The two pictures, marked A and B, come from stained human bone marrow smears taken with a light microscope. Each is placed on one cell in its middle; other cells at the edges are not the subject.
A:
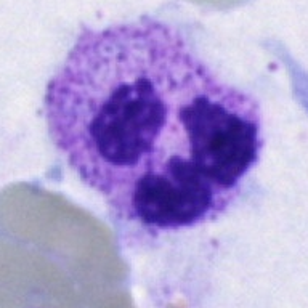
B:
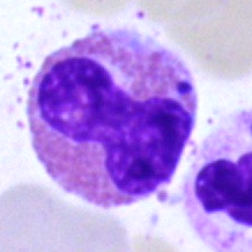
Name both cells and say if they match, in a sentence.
No, crop A offers a neutrophil, while crop B offers an eosinophil.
